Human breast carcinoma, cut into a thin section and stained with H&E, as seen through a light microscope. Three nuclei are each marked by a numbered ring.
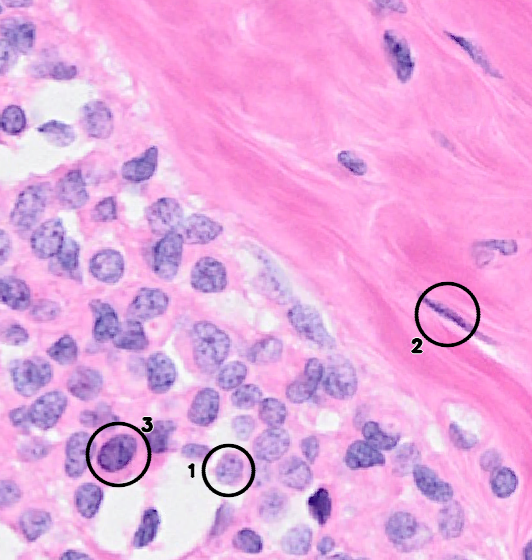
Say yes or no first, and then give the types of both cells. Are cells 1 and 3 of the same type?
Yes, cells 1 and 3 fall into the same group, both being carcinoma cells.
